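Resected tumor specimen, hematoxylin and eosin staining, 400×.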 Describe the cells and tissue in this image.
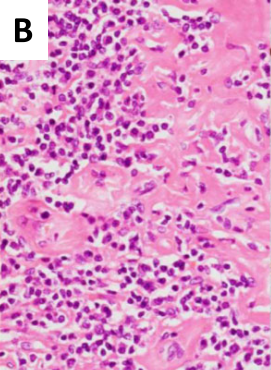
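This field shows a dense lymphoplasmacytic infiltrate set in sclerotic stroma. The left part is crowded with small round cells with dark purple nuclei; many have a somewhat larger rim of pinkish-purple cytoplasm and an off-centre nucleus, as plasma cells do, mixed with smaller lymphocytes. Toward the right, broad pale pink bands of dense collagen divide the infiltrate, with only sparse elongated spindle nuclei running within them. The inflammatory cells spill between and around these fibrous bands rather than forming an organised structure, giving a mixed cellular and fibrotic picture.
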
